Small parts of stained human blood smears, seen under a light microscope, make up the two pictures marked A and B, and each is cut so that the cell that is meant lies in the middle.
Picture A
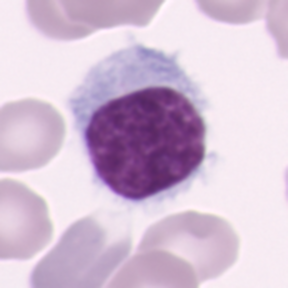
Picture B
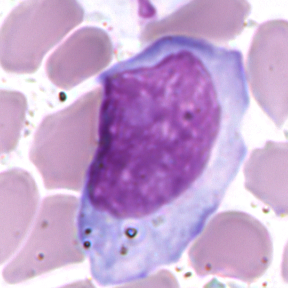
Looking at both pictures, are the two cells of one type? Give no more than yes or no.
no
